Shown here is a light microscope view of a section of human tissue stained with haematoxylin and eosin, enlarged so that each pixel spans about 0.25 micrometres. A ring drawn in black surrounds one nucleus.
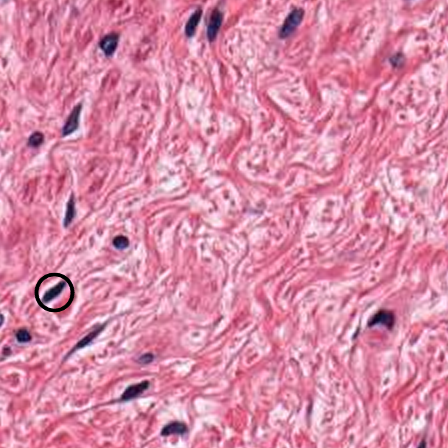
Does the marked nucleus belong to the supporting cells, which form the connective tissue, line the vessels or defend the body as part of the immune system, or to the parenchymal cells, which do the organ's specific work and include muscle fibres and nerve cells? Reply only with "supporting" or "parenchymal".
supporting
